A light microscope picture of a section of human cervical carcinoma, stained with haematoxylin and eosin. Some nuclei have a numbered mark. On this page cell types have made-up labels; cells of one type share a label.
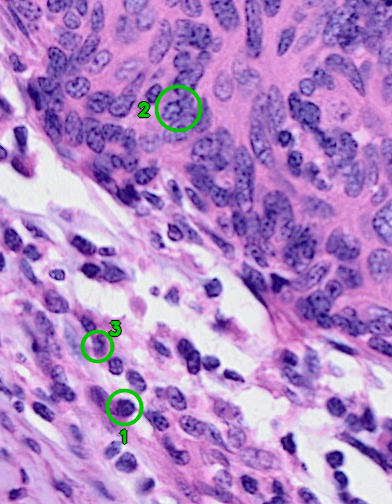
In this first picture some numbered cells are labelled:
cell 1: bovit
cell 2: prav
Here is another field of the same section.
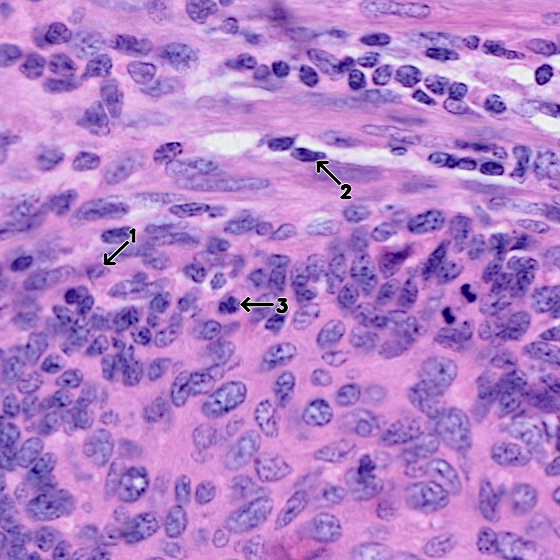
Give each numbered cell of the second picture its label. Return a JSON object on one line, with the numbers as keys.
{"1": "prav", "2": "bovit", "3": "prav"}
